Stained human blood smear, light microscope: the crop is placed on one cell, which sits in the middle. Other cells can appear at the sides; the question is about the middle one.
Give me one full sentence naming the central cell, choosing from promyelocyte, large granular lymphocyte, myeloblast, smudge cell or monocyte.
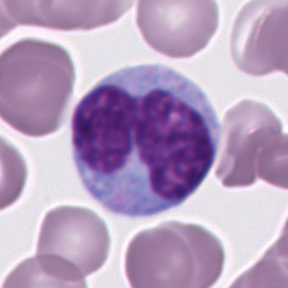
The central cell in this smear crop is a monocyte.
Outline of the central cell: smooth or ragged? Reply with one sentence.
Smooth all around, the outline has no projections to report.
